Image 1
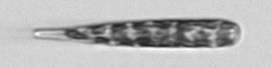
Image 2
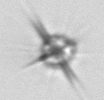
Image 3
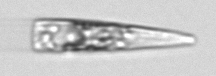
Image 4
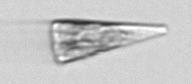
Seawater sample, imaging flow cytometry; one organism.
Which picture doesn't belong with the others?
Picture 2.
